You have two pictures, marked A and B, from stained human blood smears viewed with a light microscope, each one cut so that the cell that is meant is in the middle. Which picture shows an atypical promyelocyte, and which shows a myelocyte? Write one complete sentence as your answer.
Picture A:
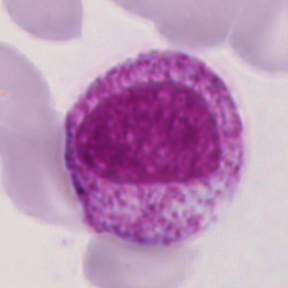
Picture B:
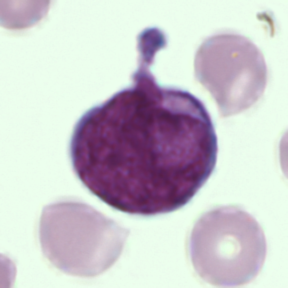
Picture A shows a myelocyte and picture B shows an atypical promyelocyte.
